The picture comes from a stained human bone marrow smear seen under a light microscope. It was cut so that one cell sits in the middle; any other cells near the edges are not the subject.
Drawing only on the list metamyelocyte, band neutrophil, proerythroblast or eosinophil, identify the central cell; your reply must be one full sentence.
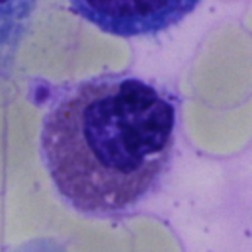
The middle position in this crop is taken by an eosinophil.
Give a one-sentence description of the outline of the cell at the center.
The outline traces a smooth curve with no projections along it.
